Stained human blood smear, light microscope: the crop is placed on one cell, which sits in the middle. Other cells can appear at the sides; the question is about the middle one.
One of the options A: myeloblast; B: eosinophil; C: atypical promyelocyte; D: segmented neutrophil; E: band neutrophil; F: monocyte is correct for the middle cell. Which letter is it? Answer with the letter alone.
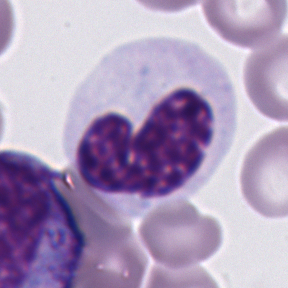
E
